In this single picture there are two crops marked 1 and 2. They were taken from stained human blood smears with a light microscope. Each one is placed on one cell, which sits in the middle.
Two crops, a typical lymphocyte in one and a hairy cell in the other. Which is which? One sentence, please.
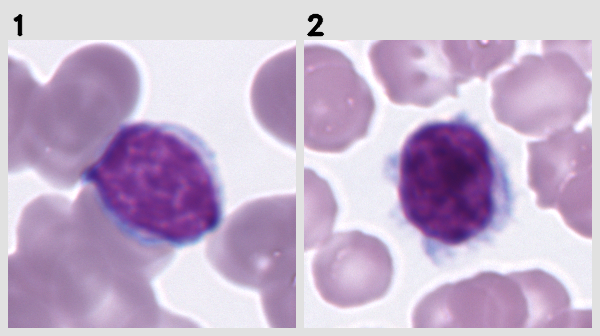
Crop 1 is a typical lymphocyte; crop 2, on the other hand, is a hairy cell.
